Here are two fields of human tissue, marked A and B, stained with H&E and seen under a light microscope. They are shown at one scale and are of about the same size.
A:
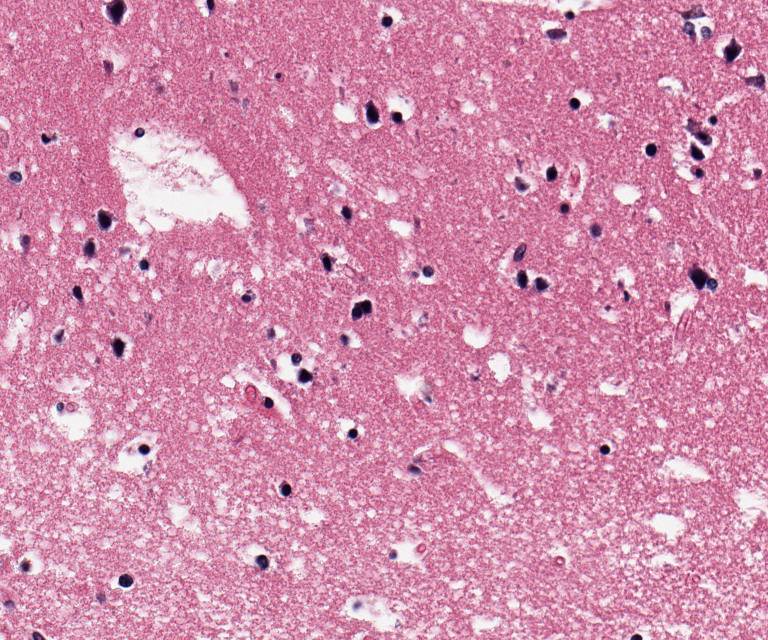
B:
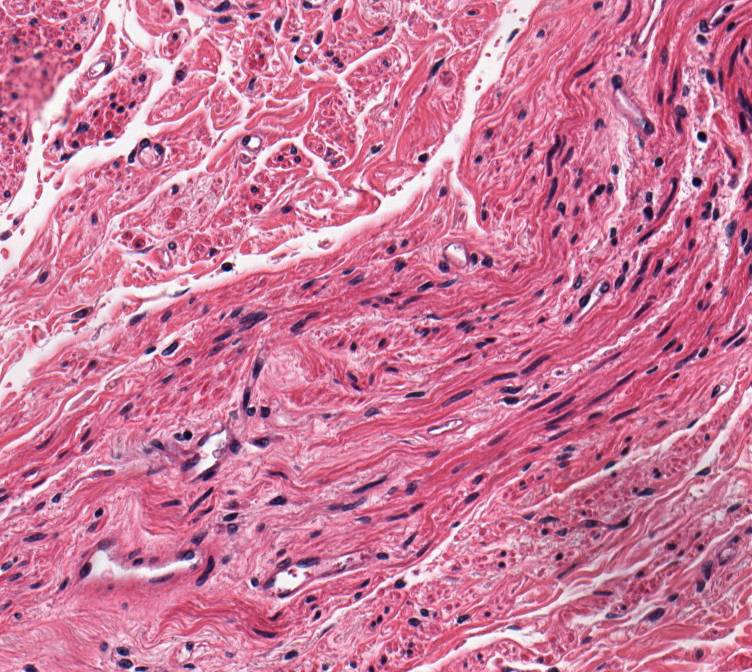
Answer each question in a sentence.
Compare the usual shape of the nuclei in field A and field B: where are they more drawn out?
On the whole the nuclei of field B are more drawn out than those of field A.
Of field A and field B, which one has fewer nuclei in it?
Field A holds fewer nuclei than field B.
